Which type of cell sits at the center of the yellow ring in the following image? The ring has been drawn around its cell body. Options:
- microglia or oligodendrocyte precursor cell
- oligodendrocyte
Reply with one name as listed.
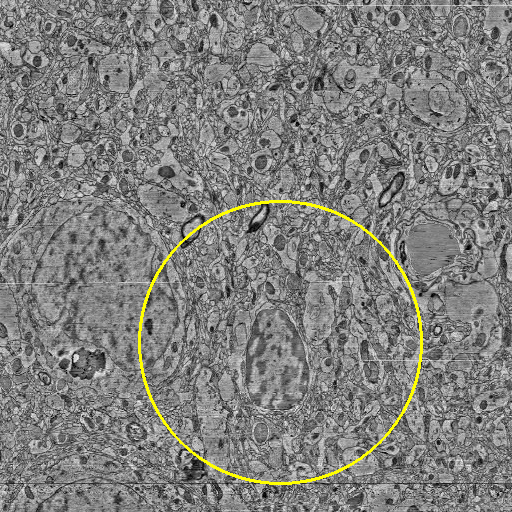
microglia or oligodendrocyte precursor cell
